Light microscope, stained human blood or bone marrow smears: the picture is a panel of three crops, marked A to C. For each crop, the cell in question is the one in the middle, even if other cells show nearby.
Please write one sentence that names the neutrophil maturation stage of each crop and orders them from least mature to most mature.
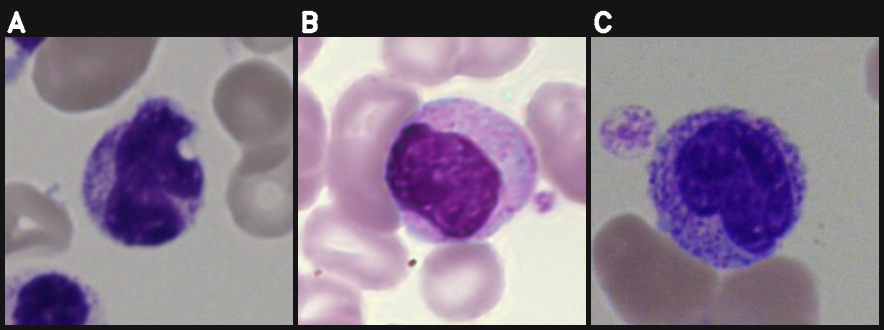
Ordering these by maturity, least mature first, yields crop B (a myelocyte), crop C (a metamyelocyte) and crop A (a segmented neutrophil).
